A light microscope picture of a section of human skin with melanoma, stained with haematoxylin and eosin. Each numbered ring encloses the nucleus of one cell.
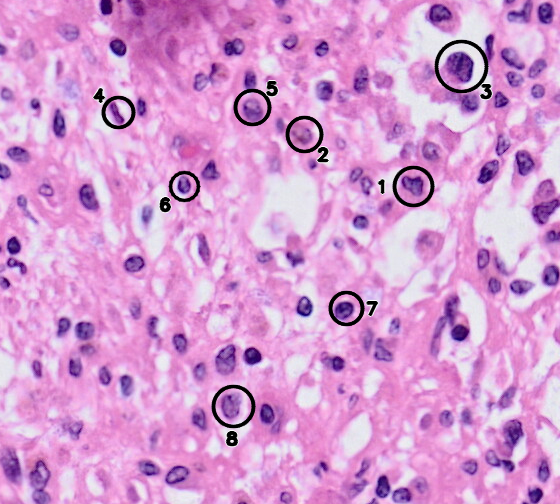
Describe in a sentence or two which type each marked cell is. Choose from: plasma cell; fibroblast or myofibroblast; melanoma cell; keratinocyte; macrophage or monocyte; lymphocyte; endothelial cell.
Cell 1 is a macrophage or monocyte, cell 2 is a macrophage or monocyte, cell 3 is a melanoma cell, cell 4 is a fibroblast or myofibroblast, cell 5 is a macrophage or monocyte, cell 6 is a lymphocyte, cell 7 is a lymphocyte and cell 8 is a macrophage or monocyte.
